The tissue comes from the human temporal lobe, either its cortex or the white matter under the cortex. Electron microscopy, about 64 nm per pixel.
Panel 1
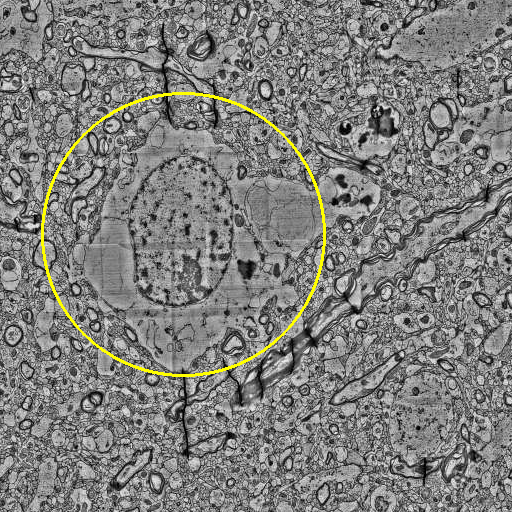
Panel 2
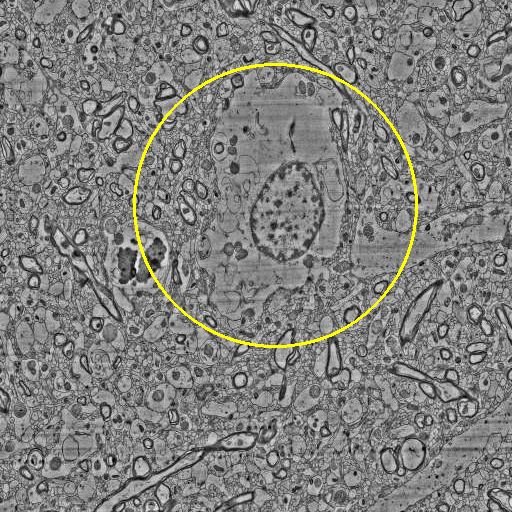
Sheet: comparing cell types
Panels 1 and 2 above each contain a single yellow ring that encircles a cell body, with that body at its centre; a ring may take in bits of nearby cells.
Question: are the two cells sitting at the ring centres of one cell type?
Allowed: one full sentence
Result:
Yes, the ring-centre cells in Panel 1 and Panel 2 are of one type.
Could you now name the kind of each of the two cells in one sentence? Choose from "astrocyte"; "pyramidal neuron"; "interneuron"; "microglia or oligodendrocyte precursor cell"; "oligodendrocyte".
Each cell, in the first picture and the second, is an astrocyte.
